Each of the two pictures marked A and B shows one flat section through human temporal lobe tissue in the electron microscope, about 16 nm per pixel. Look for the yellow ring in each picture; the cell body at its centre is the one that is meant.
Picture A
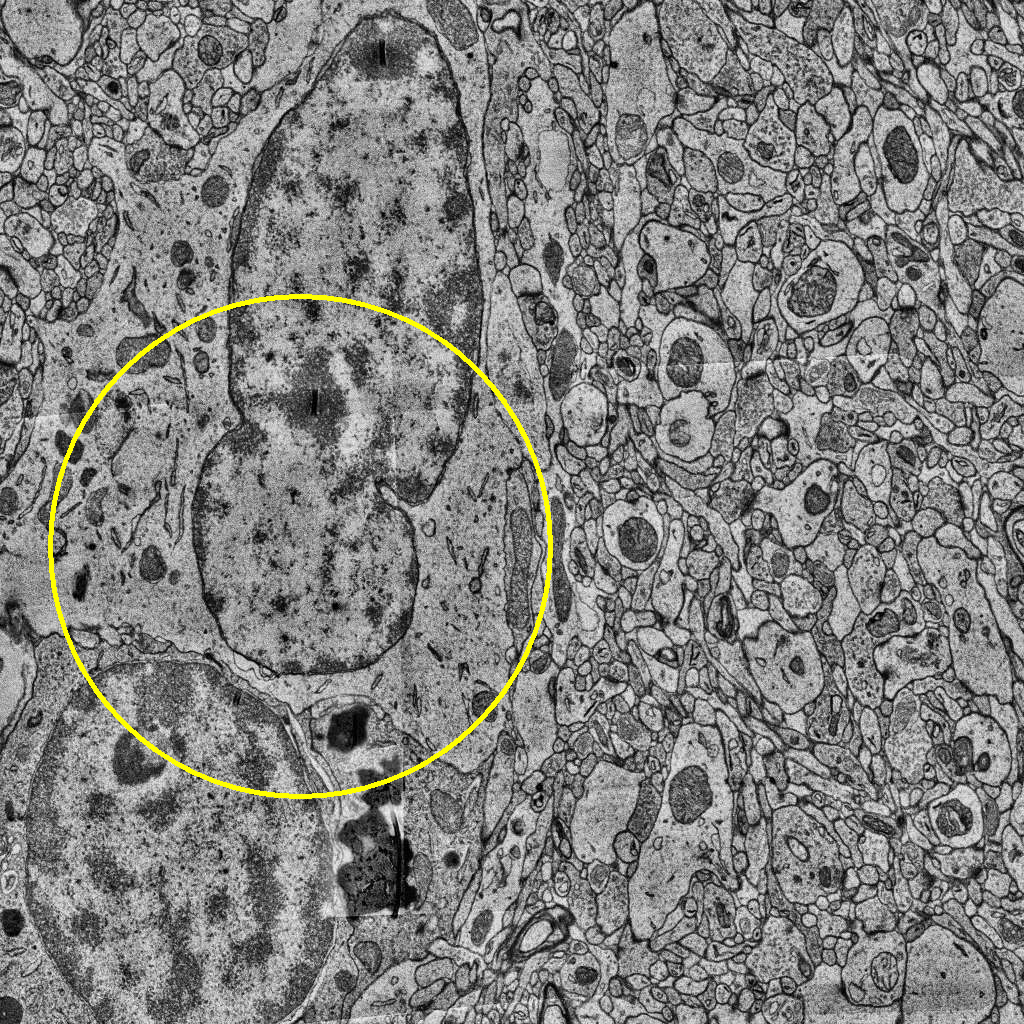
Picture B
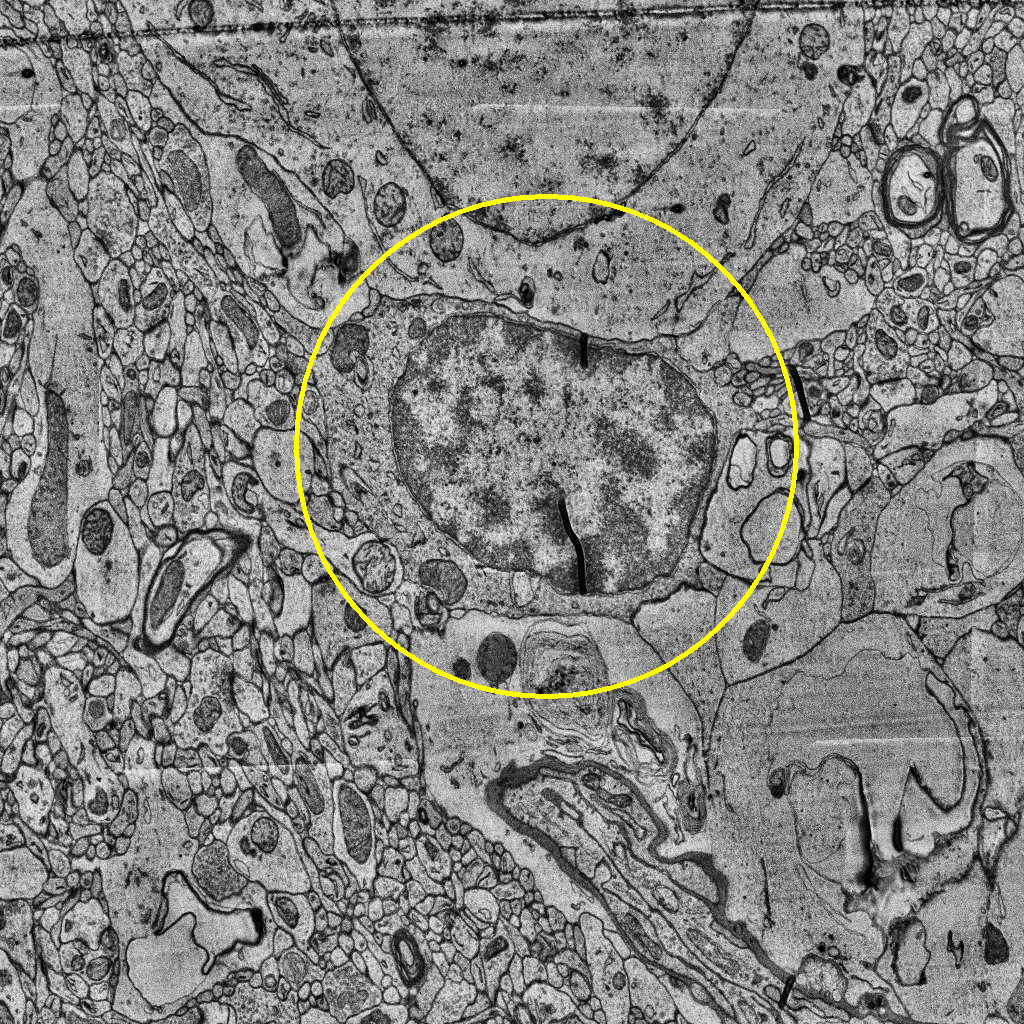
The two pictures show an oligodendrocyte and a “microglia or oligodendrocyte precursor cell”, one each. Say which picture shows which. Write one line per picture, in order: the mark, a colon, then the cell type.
A: microglia or oligodendrocyte precursor cell
B: oligodendrocyte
